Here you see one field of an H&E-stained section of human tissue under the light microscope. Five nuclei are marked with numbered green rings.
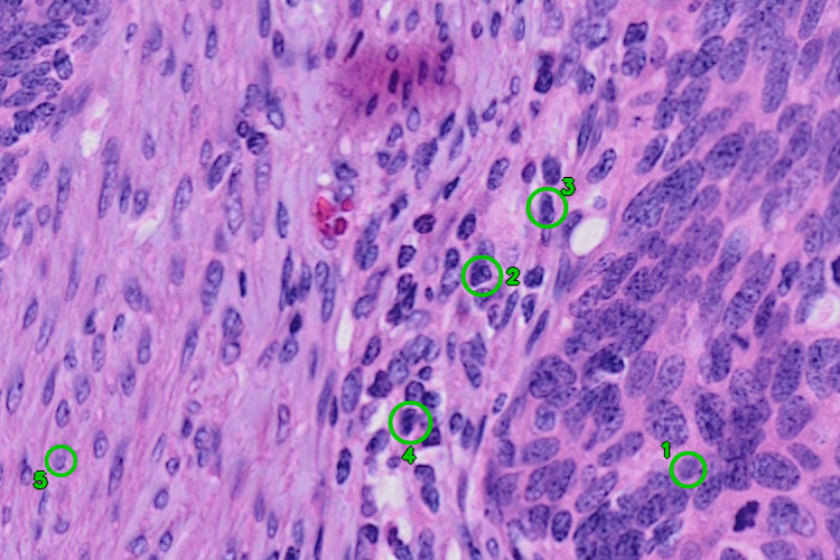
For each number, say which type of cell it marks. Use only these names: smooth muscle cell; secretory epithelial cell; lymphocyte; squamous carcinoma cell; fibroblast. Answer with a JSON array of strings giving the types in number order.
["squamous carcinoma cell", "lymphocyte", "lymphocyte", "lymphocyte", "smooth muscle cell"]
